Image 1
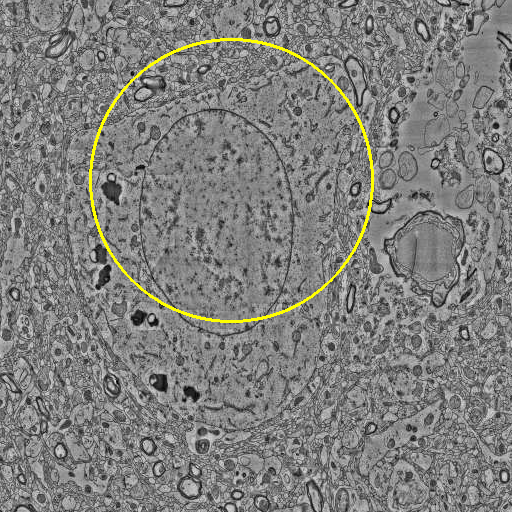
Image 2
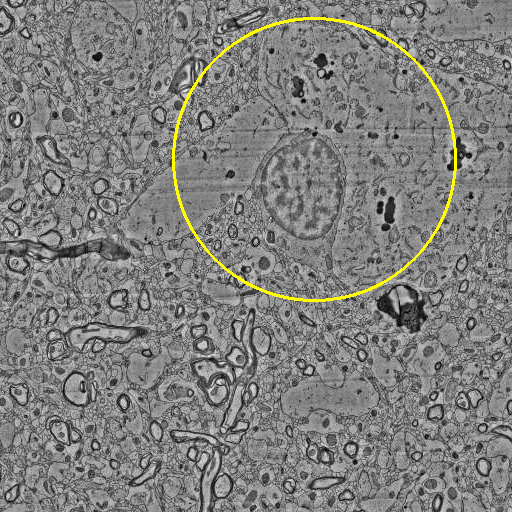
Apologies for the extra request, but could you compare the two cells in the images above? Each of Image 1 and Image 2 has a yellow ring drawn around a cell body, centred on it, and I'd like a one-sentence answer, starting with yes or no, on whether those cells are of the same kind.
No, the two cells are of two kinds.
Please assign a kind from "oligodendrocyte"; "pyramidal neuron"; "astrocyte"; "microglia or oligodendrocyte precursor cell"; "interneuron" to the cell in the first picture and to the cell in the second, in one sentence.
In the first picture we have a pyramidal neuron, and in the second, an oligodendrocyte.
